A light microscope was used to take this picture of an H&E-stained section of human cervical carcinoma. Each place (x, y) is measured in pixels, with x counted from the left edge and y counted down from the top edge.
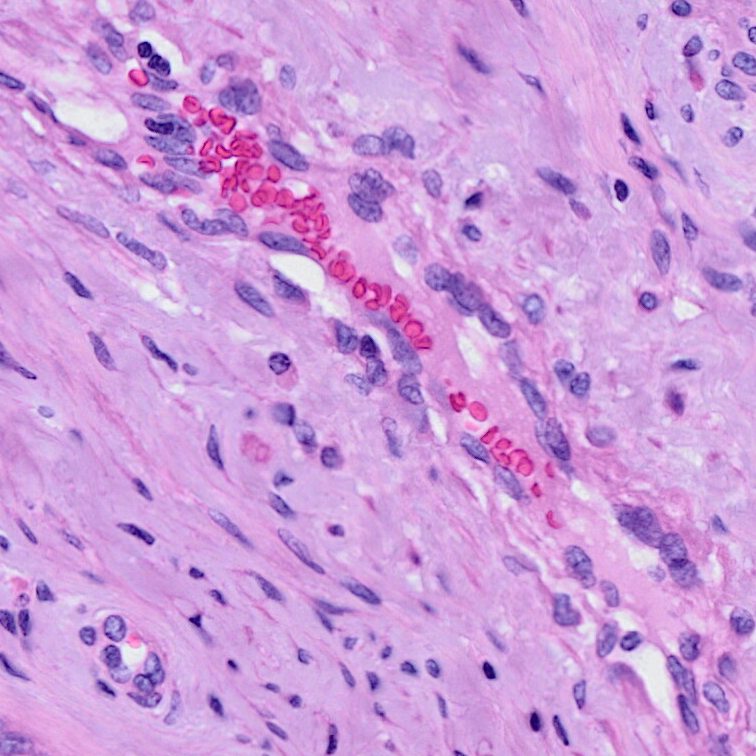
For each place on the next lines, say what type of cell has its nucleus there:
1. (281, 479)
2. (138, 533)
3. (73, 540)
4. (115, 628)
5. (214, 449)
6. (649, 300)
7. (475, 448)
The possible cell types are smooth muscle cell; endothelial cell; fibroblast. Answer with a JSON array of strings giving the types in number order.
["fibroblast", "fibroblast", "smooth muscle cell", "endothelial cell", "fibroblast", "smooth muscle cell", "endothelial cell"]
